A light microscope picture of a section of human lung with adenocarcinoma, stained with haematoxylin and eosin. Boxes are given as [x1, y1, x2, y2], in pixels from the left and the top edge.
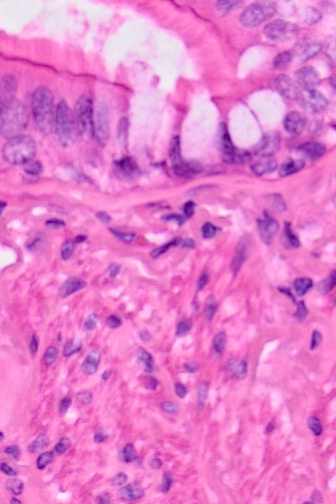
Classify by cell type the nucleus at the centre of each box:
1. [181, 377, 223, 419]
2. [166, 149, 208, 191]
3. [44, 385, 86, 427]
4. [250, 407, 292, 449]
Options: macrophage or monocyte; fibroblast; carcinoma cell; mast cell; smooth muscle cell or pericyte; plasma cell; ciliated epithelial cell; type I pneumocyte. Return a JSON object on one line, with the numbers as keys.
{"1": "smooth muscle cell or pericyte", "2": "ciliated epithelial cell", "3": "smooth muscle cell or pericyte", "4": "smooth muscle cell or pericyte"}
